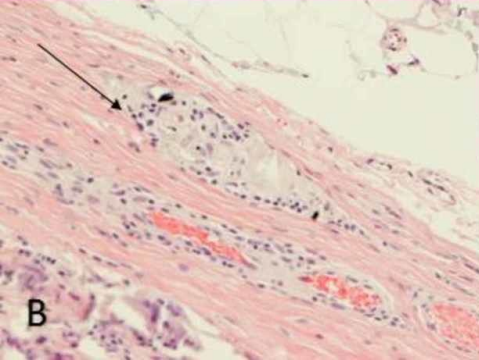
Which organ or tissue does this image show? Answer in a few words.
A: Fibroconnective tissue.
